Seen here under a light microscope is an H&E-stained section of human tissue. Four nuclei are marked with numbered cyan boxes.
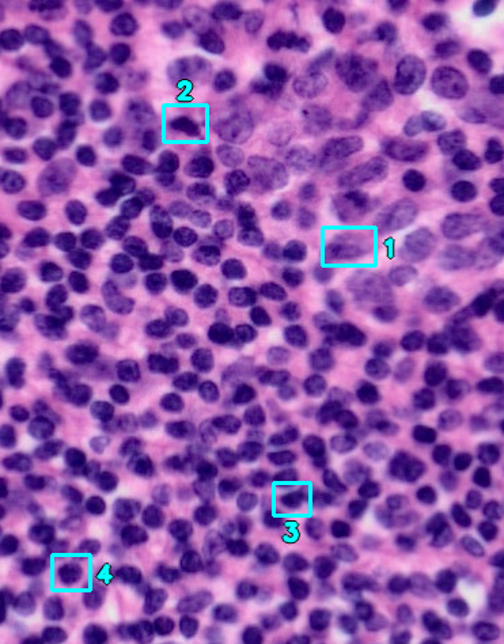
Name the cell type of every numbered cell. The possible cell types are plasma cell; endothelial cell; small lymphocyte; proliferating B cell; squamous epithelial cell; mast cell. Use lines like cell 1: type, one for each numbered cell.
cell 1: proliferating B cell
cell 2: proliferating B cell
cell 3: small lymphocyte
cell 4: small lymphocyte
